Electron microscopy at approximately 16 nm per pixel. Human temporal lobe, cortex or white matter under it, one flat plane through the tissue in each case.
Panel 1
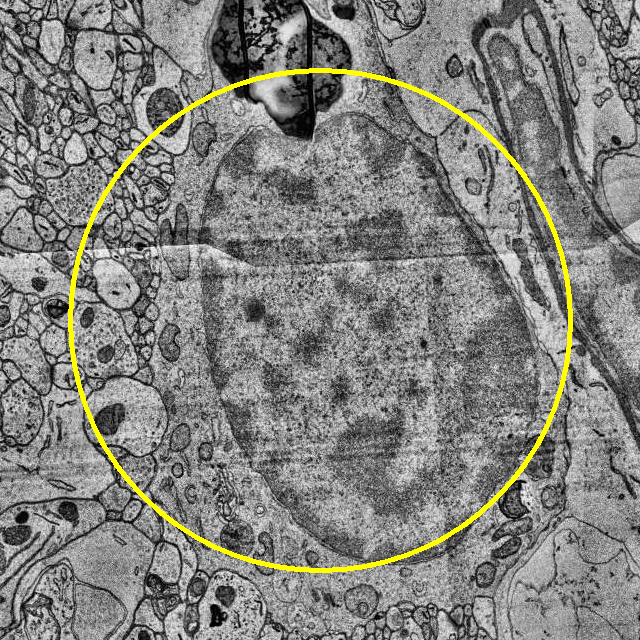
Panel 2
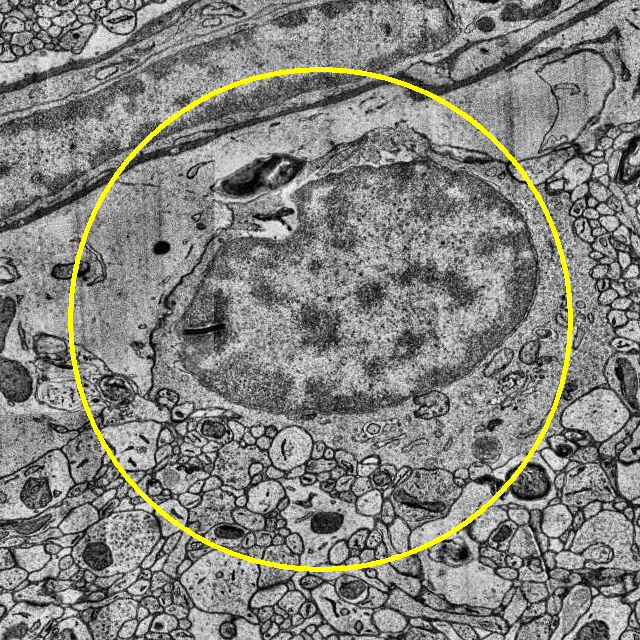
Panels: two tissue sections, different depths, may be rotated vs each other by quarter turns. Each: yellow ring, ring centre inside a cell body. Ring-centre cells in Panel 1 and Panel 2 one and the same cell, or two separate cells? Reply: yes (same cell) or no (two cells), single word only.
yes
